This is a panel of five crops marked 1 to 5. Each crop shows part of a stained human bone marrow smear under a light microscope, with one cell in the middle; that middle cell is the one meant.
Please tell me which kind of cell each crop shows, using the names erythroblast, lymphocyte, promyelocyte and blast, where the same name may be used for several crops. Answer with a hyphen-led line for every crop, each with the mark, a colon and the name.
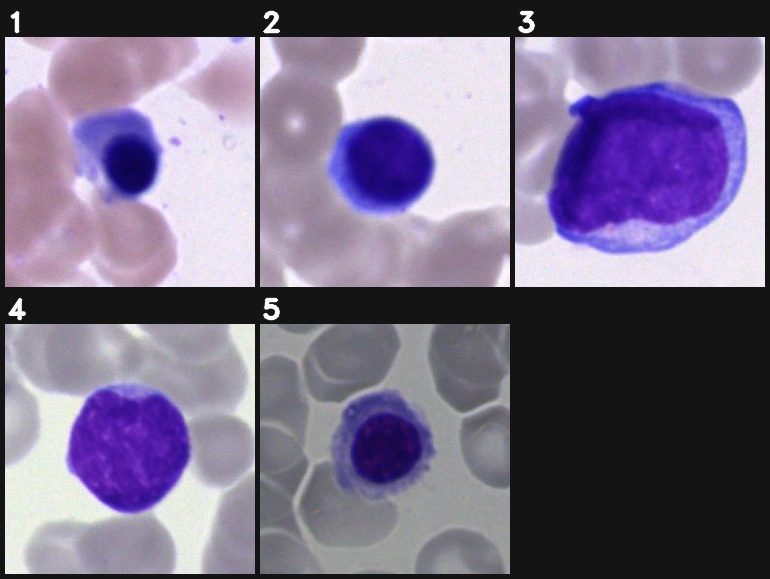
- 1: erythroblast
- 2: lymphocyte
- 3: blast
- 4: blast
- 5: erythroblast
